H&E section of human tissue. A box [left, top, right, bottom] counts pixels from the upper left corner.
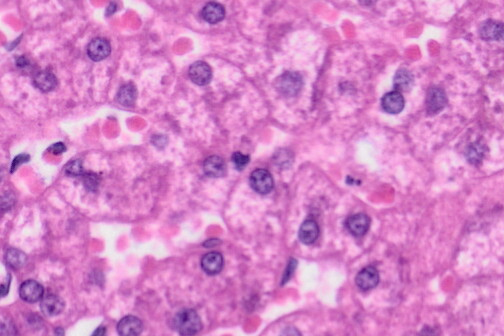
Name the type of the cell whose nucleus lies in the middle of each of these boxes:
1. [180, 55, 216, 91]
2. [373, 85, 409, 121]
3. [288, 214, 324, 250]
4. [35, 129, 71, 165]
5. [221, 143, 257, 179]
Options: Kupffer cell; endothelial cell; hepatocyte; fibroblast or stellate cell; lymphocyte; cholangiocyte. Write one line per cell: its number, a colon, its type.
1: hepatocyte
2: hepatocyte
3: hepatocyte
4: lymphocyte
5: fibroblast or stellate cell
